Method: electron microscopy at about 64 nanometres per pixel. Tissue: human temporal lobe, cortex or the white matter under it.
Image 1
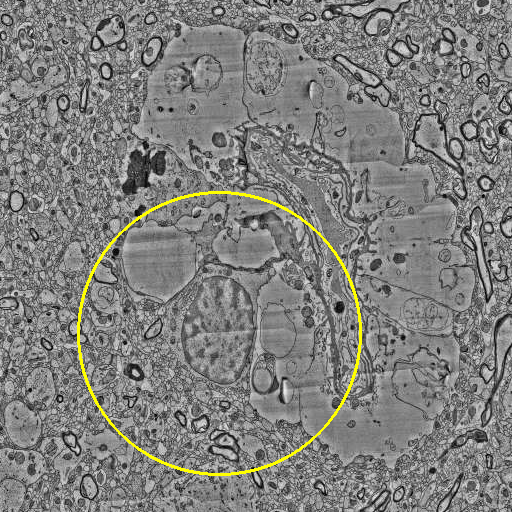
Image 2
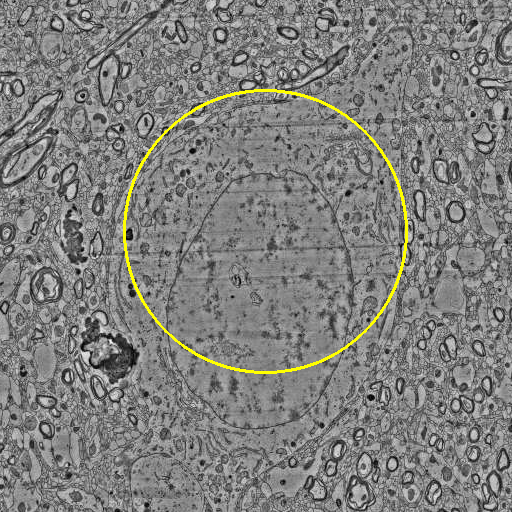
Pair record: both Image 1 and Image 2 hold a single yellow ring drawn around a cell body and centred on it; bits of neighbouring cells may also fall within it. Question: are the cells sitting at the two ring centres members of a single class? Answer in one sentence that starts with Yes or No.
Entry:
No, the ring-centre cells in Image 1 and Image 2 come from two classes.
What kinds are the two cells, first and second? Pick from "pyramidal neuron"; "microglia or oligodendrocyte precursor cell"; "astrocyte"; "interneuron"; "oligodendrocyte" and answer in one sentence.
The second picture holds a pyramidal neuron in its ring, and the first holds an oligodendrocyte.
